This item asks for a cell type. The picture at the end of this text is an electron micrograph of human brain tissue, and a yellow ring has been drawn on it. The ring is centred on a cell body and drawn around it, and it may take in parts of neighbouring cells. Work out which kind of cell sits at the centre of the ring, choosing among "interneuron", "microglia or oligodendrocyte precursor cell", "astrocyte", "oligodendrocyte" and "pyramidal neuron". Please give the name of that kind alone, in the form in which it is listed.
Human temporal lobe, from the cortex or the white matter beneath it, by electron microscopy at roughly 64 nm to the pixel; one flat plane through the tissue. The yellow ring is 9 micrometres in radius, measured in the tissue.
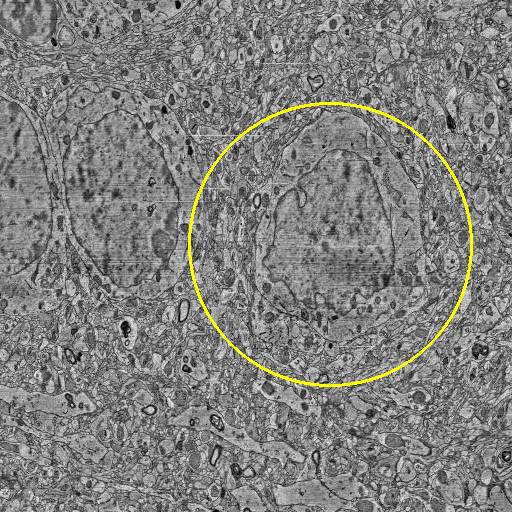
interneuron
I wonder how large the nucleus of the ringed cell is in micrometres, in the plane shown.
In this plane, roughly 11 by 8 micrometres.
